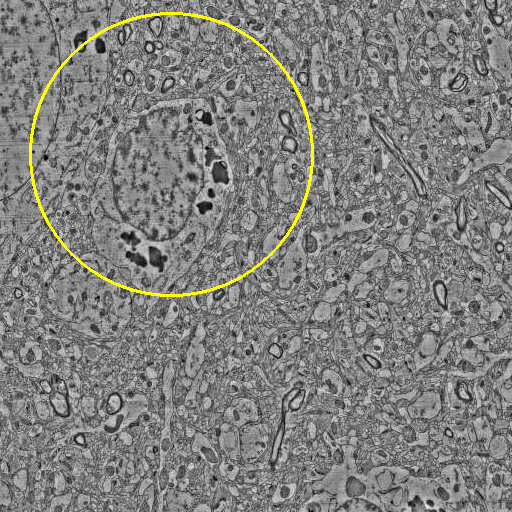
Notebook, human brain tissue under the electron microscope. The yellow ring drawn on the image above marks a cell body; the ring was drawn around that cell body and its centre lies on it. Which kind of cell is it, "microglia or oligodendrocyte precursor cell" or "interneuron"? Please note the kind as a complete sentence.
The marked cell body is that of an interneuron.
